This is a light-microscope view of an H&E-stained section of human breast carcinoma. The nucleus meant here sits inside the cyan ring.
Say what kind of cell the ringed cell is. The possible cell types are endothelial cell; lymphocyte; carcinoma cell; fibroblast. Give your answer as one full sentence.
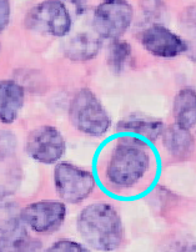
The identity of the ringed cell is that of a carcinoma cell.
